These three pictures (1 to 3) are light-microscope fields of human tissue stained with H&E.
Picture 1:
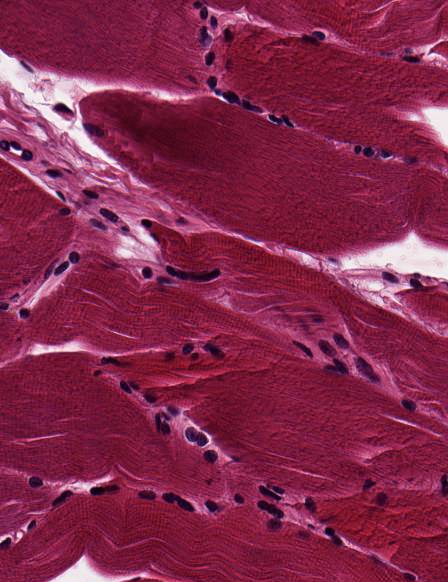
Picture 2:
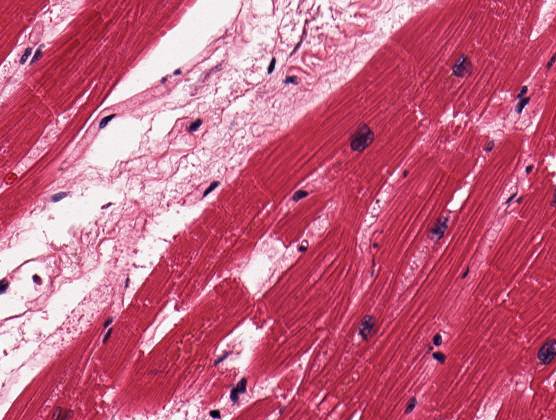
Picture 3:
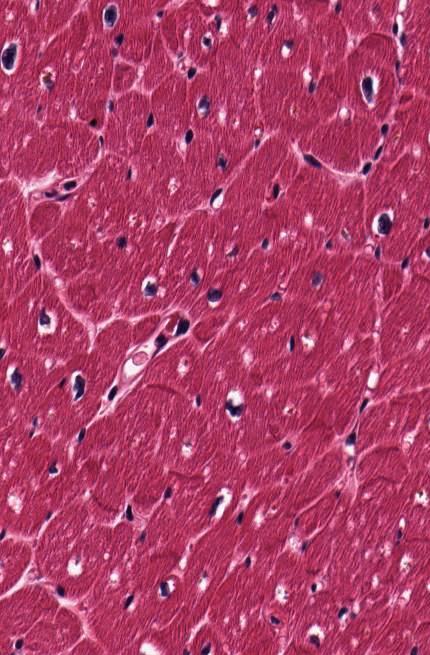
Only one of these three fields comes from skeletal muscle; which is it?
1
